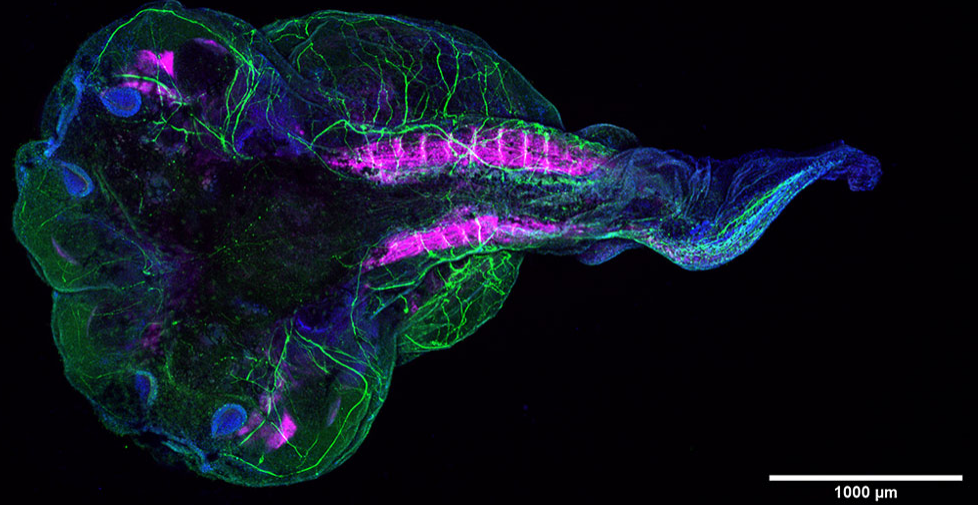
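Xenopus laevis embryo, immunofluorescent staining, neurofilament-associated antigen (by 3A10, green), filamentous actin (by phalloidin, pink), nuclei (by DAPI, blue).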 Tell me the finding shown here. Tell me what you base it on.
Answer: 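The front end is split into two broad lobes, one above and one below. Each lobe carries its own pair of blue-outlined eyes, four eyes in all. The two lobes join into one trunk that runs to the right. The answer: Two-headed.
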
